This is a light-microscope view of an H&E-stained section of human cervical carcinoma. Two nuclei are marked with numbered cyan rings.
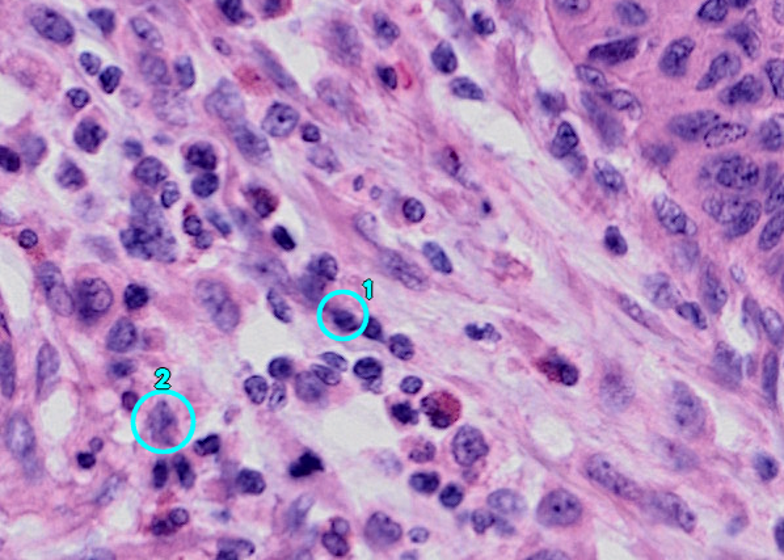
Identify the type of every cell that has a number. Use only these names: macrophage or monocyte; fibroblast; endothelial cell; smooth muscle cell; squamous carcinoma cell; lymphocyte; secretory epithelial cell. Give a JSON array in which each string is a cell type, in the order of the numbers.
["lymphocyte", "macrophage or monocyte"]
